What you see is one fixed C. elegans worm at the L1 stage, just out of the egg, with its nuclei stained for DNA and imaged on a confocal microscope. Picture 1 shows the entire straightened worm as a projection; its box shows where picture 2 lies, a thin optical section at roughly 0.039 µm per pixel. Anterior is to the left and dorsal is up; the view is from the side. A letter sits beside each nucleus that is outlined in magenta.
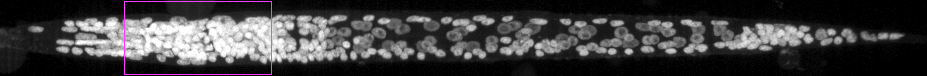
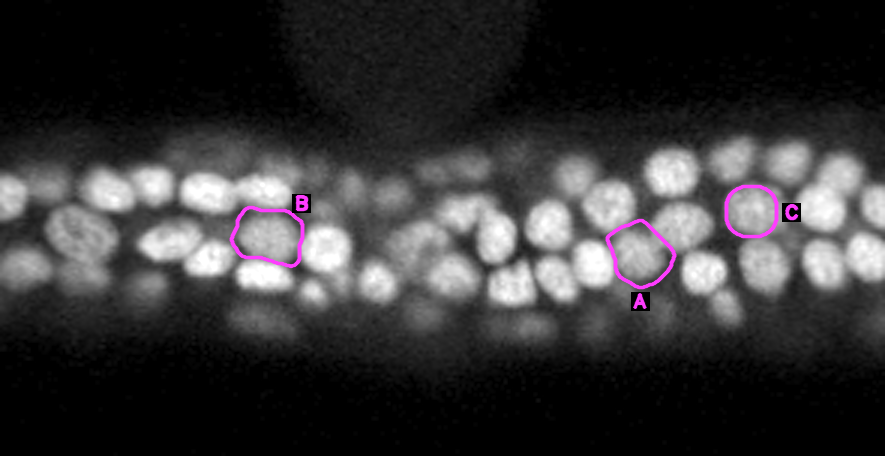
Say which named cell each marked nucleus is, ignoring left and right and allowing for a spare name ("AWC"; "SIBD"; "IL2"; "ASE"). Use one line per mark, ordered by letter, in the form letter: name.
A: AWC
B: IL2
C: ASE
